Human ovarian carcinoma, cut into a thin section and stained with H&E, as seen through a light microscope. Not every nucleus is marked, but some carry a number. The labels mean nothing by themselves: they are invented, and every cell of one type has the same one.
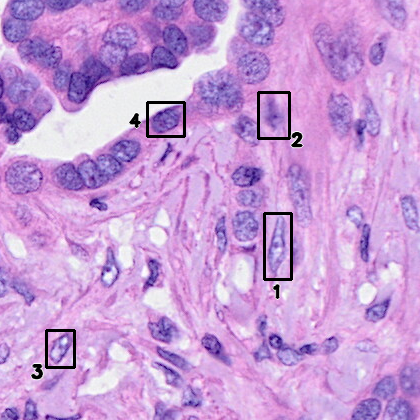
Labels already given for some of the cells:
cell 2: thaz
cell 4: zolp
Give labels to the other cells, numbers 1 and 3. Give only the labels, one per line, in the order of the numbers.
thaz
thaz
